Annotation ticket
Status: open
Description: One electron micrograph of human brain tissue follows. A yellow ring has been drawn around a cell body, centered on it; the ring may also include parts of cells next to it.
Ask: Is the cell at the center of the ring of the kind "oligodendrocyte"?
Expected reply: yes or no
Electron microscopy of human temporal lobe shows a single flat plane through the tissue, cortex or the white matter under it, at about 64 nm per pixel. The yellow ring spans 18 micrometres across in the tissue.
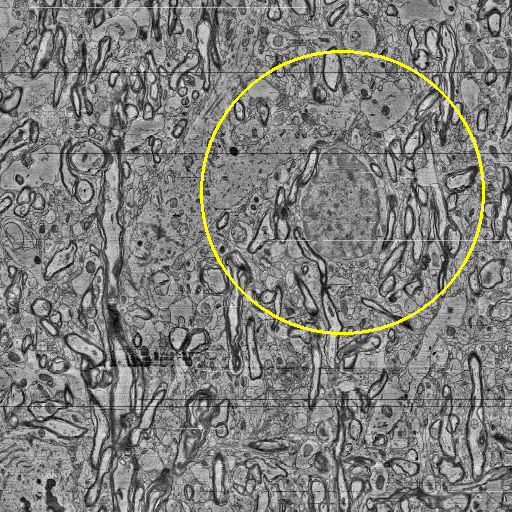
yes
